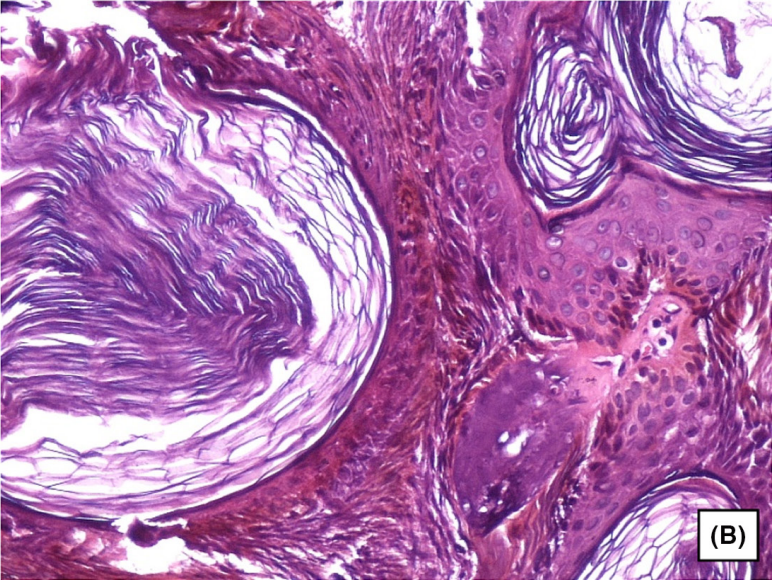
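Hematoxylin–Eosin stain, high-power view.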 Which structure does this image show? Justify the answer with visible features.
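A large rounded space filled with concentric wavy laminated keratin. The keratin-filled space is bordered by the epithelial cells. That points to this answer: horn pseudocyst.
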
